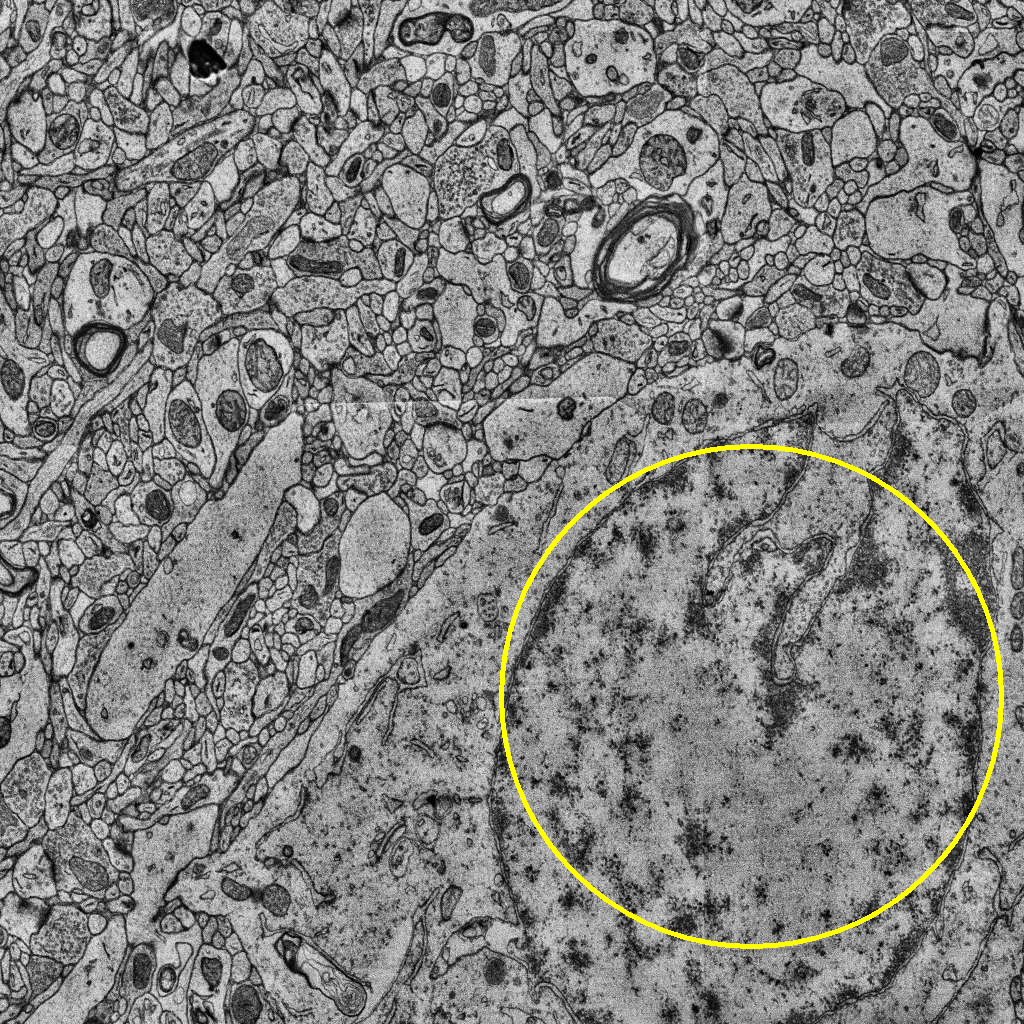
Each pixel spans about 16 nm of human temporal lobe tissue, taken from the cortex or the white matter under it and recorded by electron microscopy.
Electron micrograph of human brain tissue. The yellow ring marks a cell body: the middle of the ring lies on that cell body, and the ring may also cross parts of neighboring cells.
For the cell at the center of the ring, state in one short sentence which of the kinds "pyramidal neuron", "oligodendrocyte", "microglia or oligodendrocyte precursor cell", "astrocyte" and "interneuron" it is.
This ring's center lies on an interneuron.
